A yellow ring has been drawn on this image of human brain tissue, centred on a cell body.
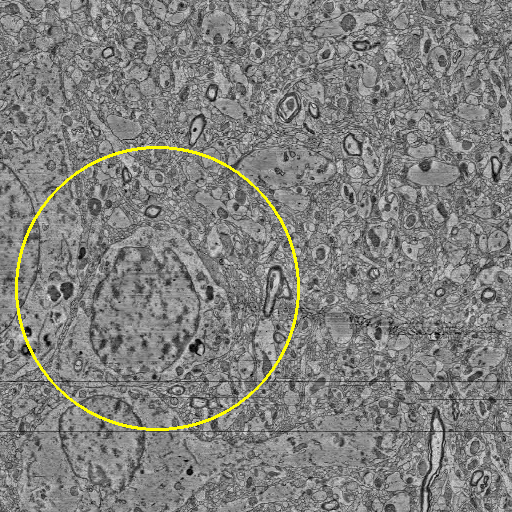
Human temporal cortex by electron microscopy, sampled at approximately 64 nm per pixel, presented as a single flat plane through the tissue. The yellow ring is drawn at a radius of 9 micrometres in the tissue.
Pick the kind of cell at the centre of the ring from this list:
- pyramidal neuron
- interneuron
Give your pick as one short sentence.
The centre of the ring holds an interneuron.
